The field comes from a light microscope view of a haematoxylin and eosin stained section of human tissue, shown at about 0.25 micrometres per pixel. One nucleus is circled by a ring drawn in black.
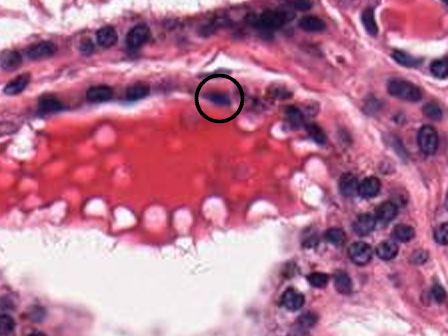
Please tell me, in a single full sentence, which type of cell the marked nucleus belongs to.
The marked nucleus sits within a thyroid follicular cell.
